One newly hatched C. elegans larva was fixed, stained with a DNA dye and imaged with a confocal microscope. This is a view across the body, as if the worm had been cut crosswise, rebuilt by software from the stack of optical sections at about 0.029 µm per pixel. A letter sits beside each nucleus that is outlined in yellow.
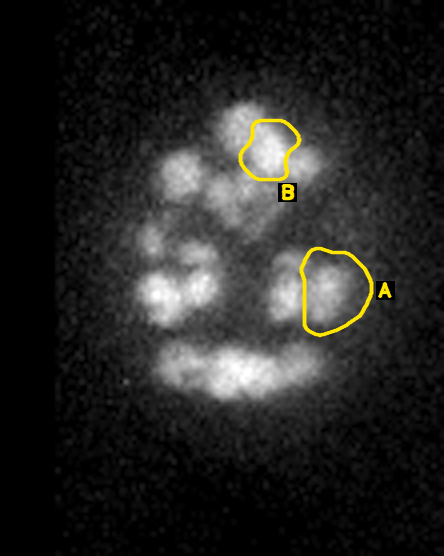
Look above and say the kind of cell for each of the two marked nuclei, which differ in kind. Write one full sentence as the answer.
A is the nucleus of an arcade cell; B is the nucleus of a glial cell (sheath or socket).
